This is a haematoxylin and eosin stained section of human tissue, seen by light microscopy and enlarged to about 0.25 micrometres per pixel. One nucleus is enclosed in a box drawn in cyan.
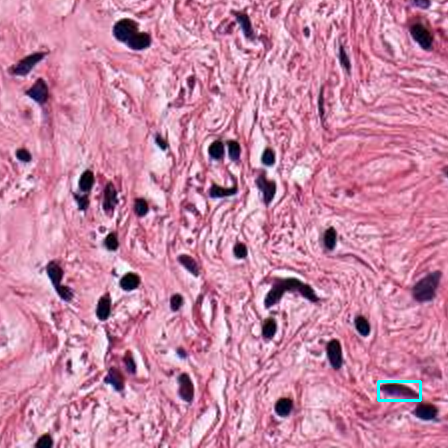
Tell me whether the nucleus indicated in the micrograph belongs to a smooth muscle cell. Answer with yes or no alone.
no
